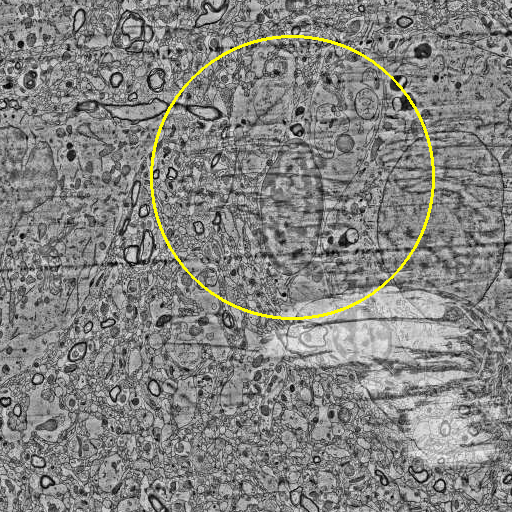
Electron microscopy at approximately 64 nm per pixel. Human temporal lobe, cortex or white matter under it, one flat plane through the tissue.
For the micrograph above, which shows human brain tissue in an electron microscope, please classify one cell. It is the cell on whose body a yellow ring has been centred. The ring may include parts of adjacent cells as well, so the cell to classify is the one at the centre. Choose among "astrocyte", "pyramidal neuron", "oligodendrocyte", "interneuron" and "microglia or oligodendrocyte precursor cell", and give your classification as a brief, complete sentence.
I classify this cell as a microglial cell or oligodendrocyte precursor cell.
